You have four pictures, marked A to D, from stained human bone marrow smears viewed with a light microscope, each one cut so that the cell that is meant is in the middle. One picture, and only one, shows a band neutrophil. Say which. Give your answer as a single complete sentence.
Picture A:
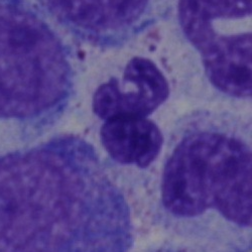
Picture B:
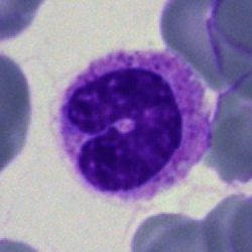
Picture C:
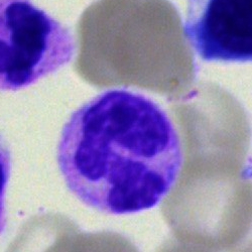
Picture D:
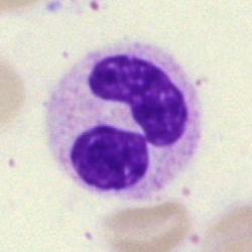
The cell in picture B is the band neutrophil.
